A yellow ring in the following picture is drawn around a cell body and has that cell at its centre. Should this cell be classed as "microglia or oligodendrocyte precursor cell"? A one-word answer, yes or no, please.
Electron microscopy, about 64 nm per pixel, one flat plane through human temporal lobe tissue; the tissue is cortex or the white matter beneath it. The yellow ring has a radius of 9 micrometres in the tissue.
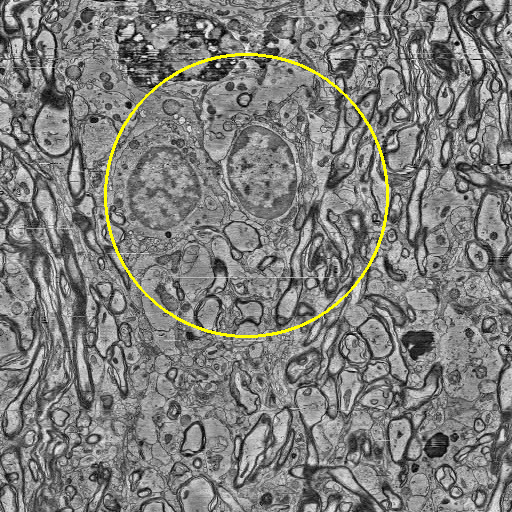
Yes, it is of that kind.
